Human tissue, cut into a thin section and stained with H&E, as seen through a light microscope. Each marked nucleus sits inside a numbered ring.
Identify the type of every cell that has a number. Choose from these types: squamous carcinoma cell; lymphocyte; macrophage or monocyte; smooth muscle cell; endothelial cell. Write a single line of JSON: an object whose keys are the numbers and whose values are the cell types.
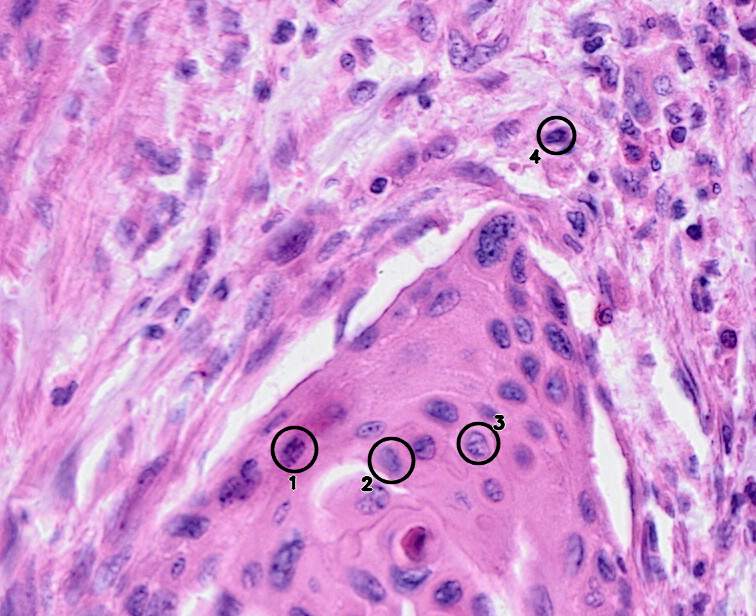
{"1": "squamous carcinoma cell", "2": "squamous carcinoma cell", "3": "squamous carcinoma cell", "4": "lymphocyte"}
